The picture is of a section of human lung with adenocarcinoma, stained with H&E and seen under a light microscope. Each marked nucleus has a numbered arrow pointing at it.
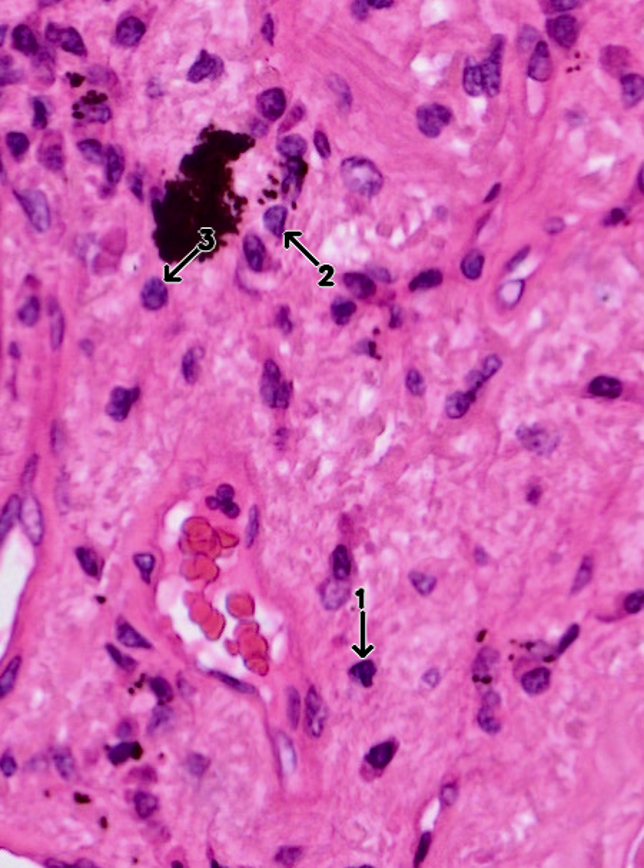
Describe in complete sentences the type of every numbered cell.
Cells 1 and 2 are lymphocytes. Cell 3 is a mast cell.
